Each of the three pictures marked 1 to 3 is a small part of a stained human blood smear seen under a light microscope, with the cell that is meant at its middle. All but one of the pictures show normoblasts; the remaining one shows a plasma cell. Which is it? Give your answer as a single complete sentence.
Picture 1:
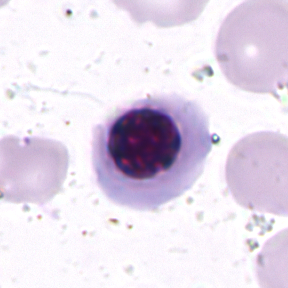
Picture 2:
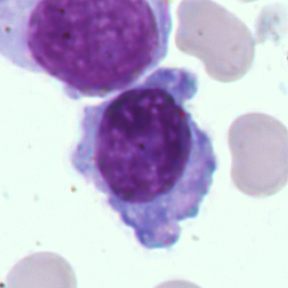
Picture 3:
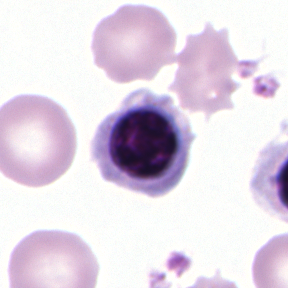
The plasma cell is the one in picture 2.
